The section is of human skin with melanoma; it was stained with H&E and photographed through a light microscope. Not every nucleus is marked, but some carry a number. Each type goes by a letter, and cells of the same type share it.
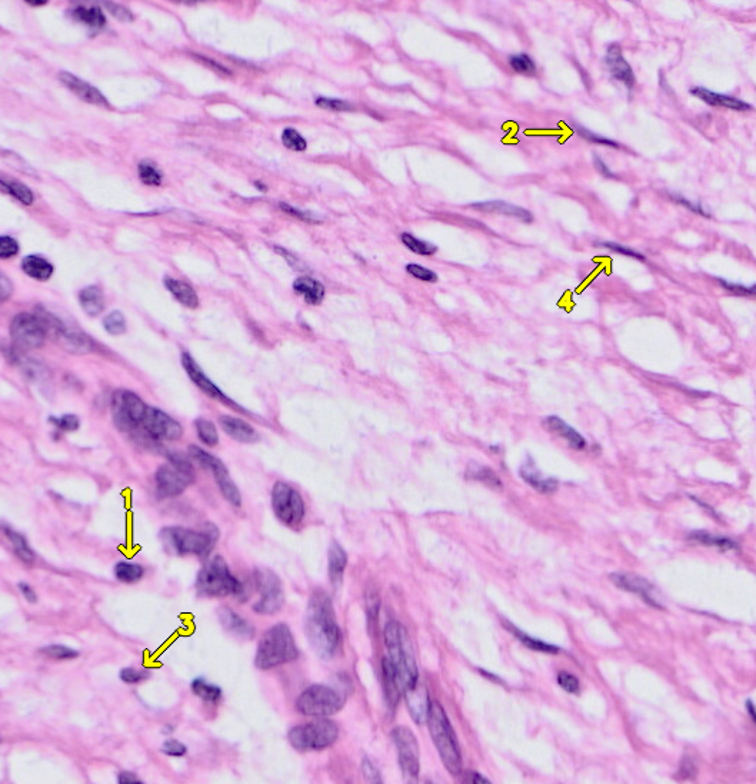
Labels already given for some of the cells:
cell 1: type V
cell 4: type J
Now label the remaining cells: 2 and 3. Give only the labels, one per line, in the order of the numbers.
type J
type V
